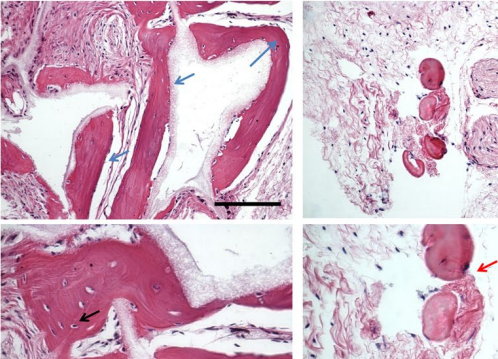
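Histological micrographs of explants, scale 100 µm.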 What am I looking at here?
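On the left, broad pink trabeculae of mature mineralised bone run through loose fibrous connective tissue, and at higher magnification small osteocytes sit in lacunae within the dense matrix. On the right there are only a few small, rounded, dense pink bone-like bodies without lacunae, embedded in pale, loose fibrous tissue with scattered spindle-shaped nuclei.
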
